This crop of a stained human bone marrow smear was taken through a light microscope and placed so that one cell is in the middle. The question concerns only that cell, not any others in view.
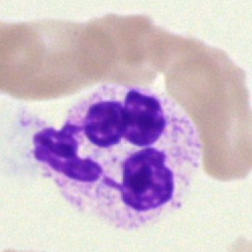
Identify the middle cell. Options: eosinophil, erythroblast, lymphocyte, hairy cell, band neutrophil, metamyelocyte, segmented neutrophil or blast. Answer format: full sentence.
As for the central cell, it is a segmented neutrophil.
